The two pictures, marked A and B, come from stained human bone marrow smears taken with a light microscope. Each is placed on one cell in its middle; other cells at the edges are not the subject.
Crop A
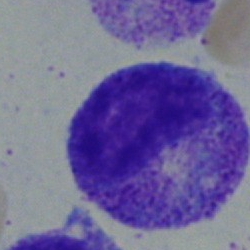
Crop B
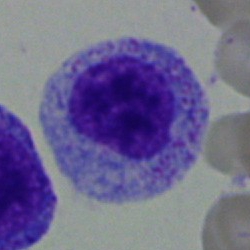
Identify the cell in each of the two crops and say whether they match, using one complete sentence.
Yes, in the case of both crops, the central cells are myelocytes.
